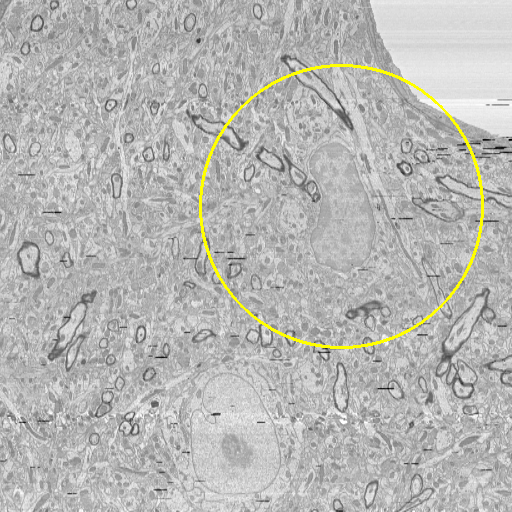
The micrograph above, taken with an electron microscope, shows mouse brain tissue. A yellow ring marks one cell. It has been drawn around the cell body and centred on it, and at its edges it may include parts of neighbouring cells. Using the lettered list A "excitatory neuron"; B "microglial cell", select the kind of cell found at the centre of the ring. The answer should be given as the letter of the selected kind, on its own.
B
